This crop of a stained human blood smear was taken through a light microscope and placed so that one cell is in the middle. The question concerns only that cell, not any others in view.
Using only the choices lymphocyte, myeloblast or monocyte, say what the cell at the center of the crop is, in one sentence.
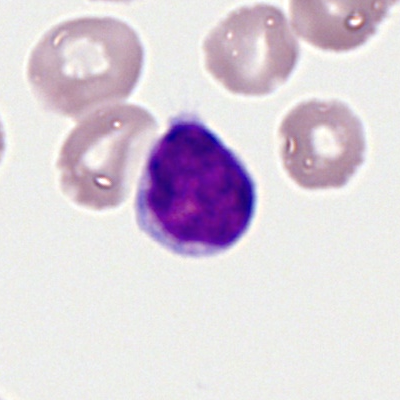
The crop's centre is taken up by a lymphocyte.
